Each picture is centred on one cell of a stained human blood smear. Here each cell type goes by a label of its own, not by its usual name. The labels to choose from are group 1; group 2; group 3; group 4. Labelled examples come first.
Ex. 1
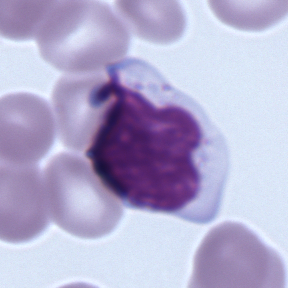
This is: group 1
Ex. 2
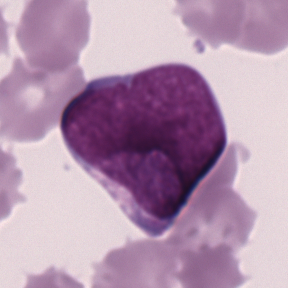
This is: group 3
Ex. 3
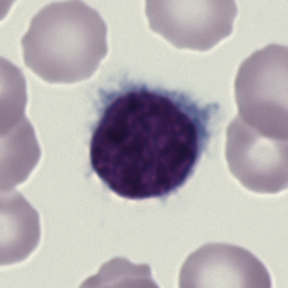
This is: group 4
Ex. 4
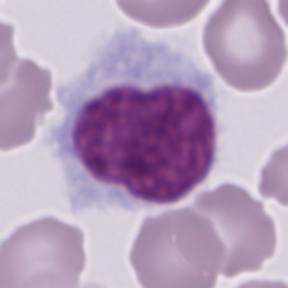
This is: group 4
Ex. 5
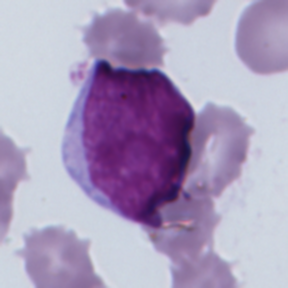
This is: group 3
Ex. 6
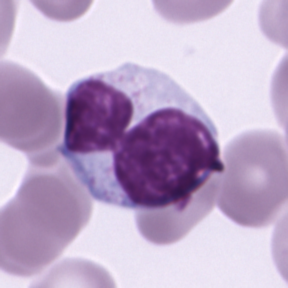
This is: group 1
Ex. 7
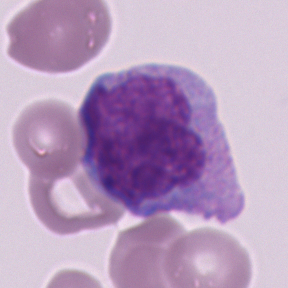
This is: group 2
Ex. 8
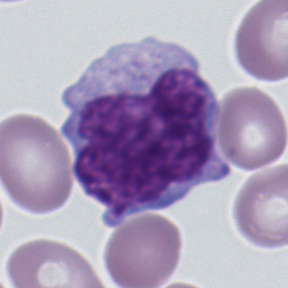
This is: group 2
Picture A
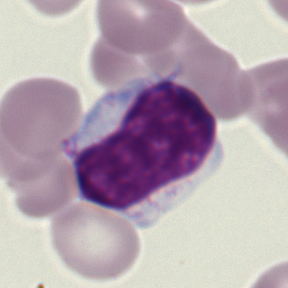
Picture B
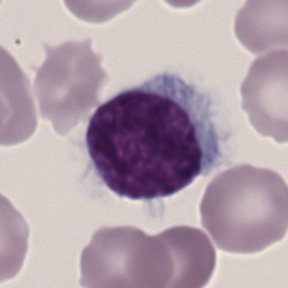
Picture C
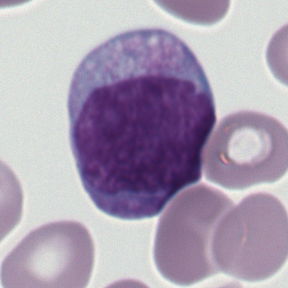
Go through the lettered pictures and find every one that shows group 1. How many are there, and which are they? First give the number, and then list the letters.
1: A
